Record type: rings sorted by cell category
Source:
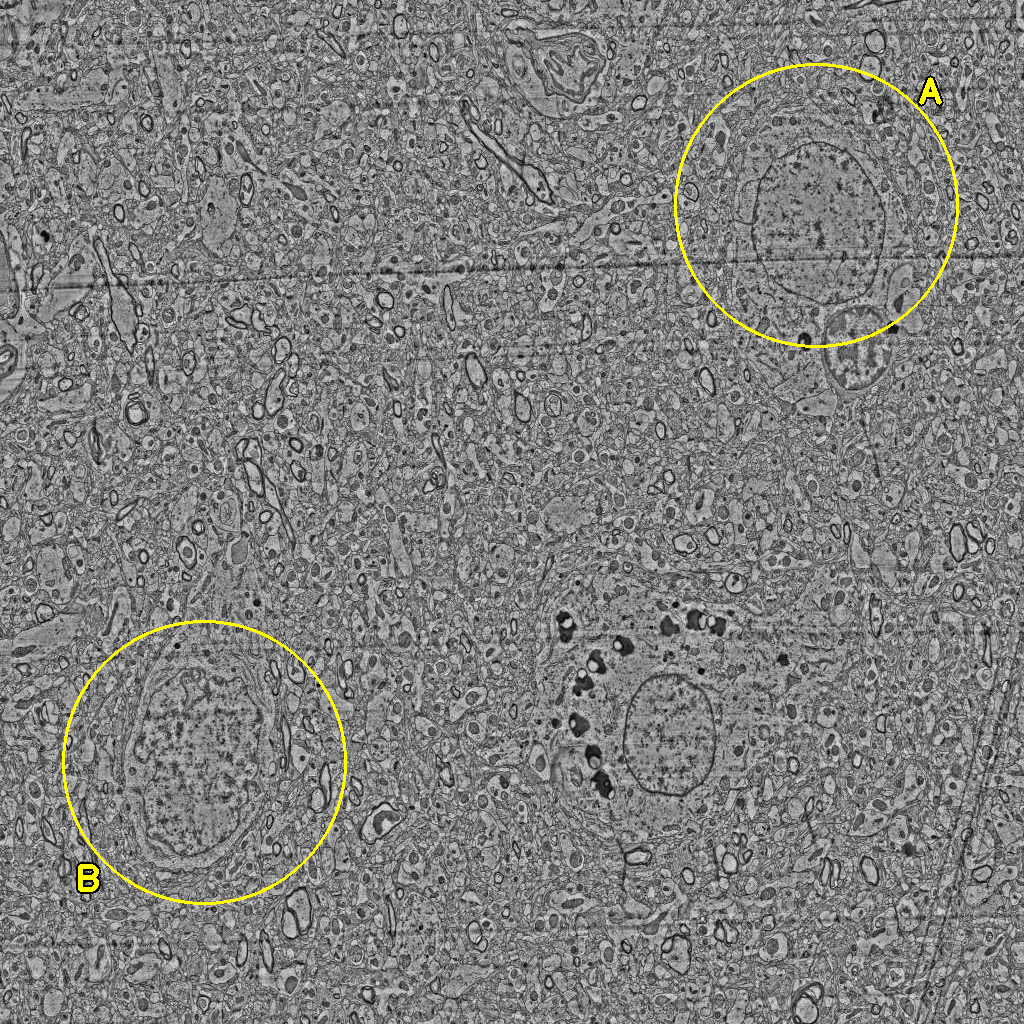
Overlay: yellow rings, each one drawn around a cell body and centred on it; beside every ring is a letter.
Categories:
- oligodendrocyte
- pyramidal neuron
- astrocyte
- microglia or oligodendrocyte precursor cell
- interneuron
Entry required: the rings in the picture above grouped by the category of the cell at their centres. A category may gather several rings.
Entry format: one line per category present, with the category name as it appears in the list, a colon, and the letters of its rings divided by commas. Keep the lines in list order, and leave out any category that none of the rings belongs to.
pyramidal neuron: A
interneuron: B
